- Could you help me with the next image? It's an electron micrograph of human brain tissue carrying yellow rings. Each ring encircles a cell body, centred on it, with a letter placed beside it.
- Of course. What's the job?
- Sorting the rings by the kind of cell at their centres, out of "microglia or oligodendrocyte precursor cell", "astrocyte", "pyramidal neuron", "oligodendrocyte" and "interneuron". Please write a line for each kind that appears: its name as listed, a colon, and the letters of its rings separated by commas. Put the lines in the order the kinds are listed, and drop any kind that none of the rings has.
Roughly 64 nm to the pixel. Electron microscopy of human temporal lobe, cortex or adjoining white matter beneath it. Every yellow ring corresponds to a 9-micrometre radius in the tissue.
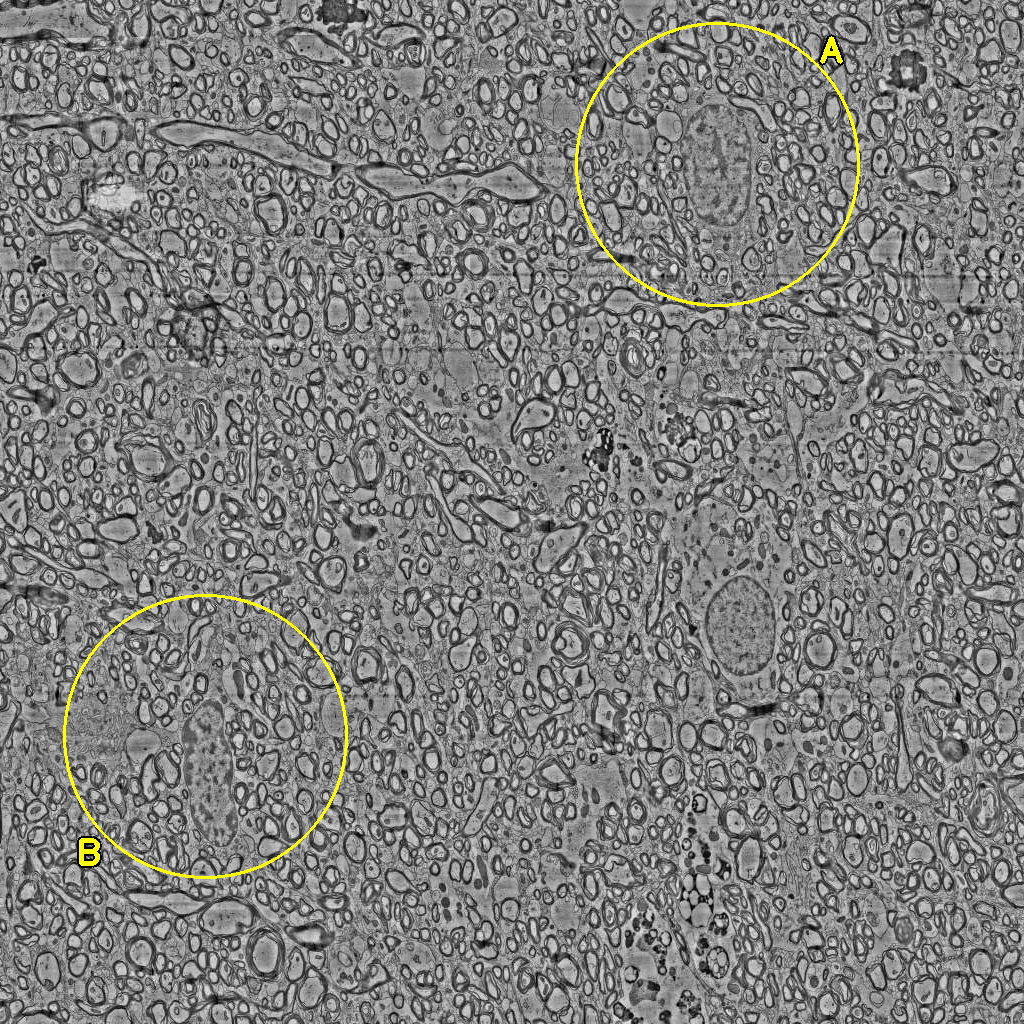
microglia or oligodendrocyte precursor cell: B
oligodendrocyte: A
